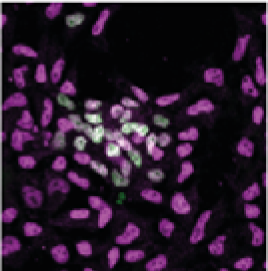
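Loosely spaced monolayer of cultured cells, seen only by their nuclei. The nuclei are oval to irregular and of fairly even size. Nearly all nuclei carry magenta label. A central cluster of more crowded nuclei also carries green label, so that these appear pale or whitish where the colours overlap. Around this cluster the nuclei are magenta only and lie farther apart, with dark gaps between them.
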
